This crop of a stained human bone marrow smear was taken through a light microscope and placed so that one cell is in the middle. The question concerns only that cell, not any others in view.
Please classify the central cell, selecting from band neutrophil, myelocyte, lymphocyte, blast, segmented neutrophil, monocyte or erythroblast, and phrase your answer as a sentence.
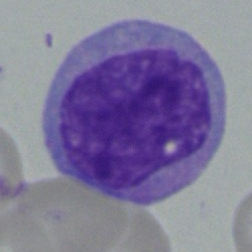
The cell sitting right in the middle is a monocyte.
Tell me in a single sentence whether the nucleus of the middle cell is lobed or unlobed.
Round, oval or kidney-shaped, the nucleus is one compact mass.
